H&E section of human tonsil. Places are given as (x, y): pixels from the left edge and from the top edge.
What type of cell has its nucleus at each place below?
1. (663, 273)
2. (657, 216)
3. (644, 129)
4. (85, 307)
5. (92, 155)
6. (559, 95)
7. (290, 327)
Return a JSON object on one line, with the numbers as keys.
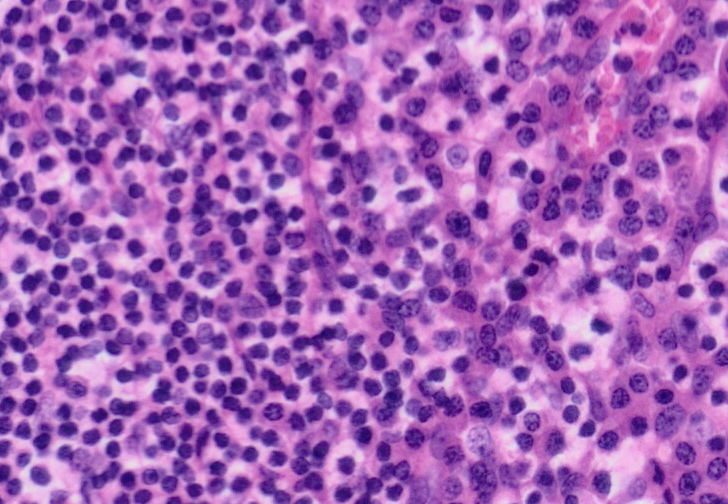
{"1": "plasma cell", "2": "plasma cell", "3": "plasma cell", "4": "small lymphocyte", "5": "small lymphocyte", "6": "plasma cell", "7": "small lymphocyte"}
